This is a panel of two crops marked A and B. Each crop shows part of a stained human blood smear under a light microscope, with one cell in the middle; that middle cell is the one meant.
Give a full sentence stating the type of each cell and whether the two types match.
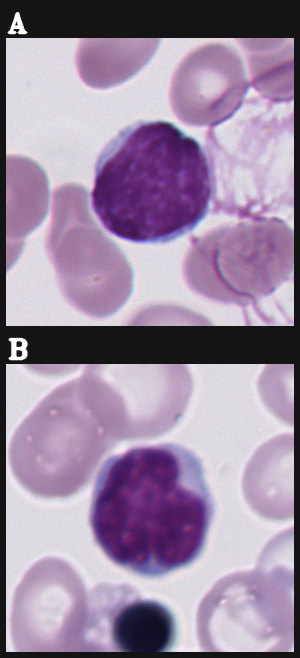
Yes, they do, both crops show lymphocytes.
